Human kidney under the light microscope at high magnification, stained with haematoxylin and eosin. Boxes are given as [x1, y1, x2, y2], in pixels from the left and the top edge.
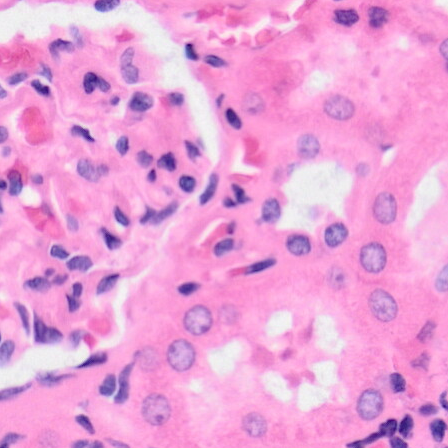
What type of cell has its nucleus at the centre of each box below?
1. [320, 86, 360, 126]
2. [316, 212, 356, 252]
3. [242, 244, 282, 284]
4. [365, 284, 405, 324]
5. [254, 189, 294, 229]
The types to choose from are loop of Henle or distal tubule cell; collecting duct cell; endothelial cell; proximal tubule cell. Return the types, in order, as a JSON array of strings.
["proximal tubule cell", "loop of Henle or distal tubule cell", "endothelial cell", "proximal tubule cell", "loop of Henle or distal tubule cell"]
